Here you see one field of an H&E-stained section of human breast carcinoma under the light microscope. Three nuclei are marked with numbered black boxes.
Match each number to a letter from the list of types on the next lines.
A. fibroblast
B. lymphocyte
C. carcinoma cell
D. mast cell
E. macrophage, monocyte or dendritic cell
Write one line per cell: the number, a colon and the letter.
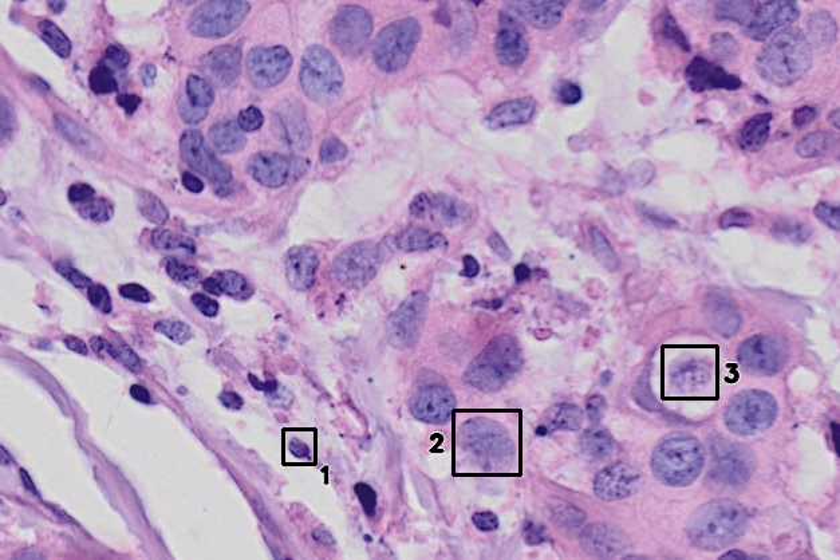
1: B
2: C
3: C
